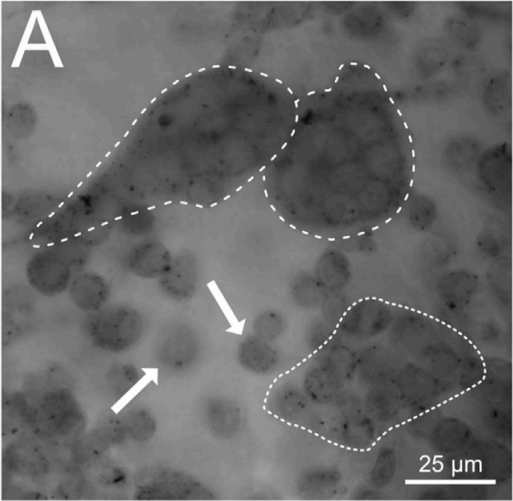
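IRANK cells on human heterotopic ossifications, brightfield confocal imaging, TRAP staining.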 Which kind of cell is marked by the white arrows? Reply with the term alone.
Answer: mononucleated pre-osteoclasts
